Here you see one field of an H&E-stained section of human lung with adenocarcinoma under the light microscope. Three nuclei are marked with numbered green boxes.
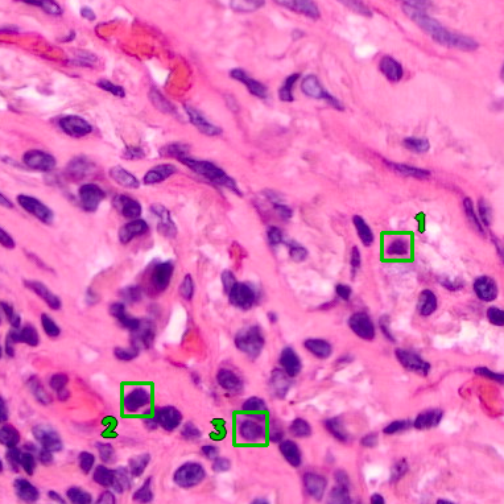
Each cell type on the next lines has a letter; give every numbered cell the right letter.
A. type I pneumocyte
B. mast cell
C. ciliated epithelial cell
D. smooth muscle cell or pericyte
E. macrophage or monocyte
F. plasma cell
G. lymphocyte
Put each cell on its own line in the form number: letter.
1: F
2: G
3: G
